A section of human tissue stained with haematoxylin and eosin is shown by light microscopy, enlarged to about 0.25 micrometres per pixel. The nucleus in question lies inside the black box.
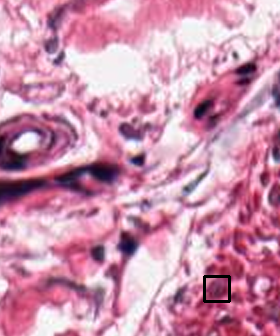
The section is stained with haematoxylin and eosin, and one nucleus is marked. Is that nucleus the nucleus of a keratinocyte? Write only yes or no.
yes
